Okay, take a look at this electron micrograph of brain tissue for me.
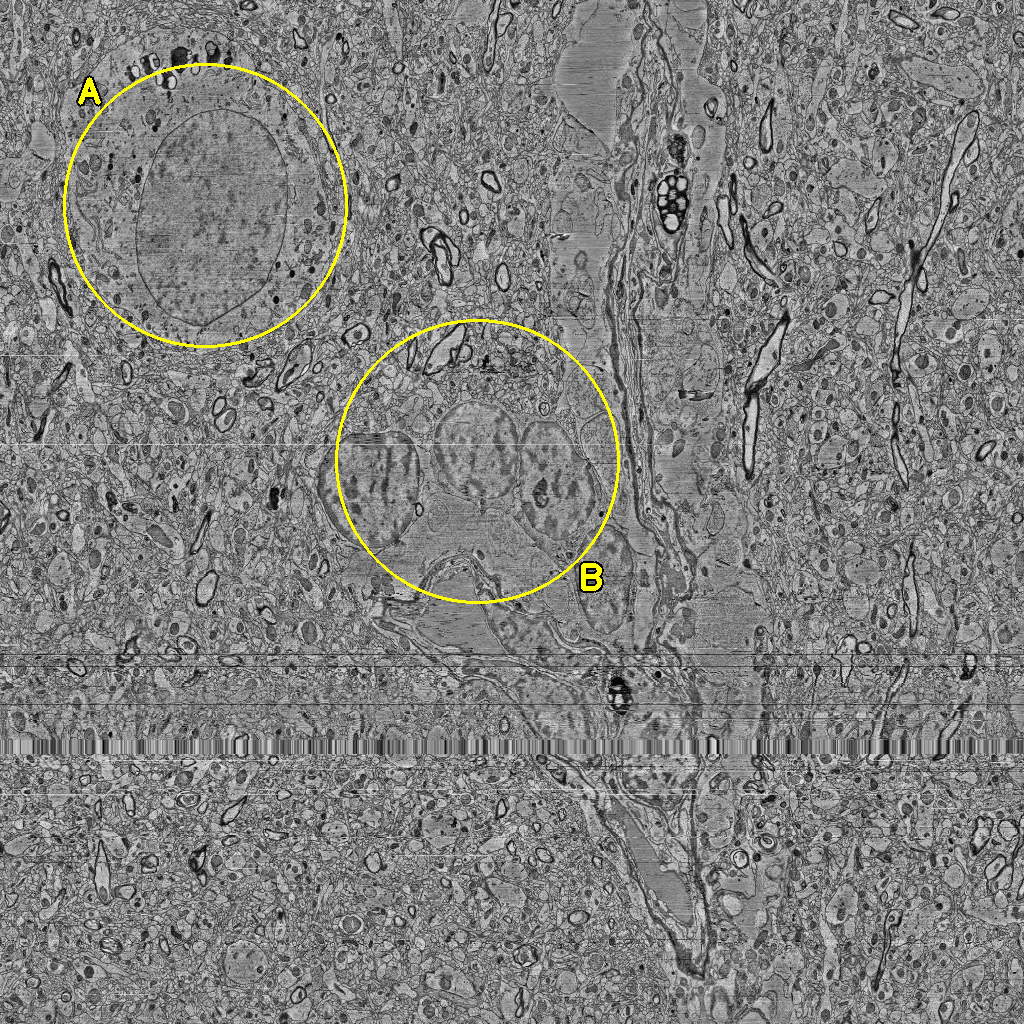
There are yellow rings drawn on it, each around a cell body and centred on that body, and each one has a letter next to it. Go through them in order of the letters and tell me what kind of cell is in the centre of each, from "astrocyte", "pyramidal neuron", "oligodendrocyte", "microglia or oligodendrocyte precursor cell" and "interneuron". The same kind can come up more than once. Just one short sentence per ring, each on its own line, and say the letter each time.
In the centre of ring A there's a pyramidal neuron.
In the centre of ring B there's an oligodendrocyte.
